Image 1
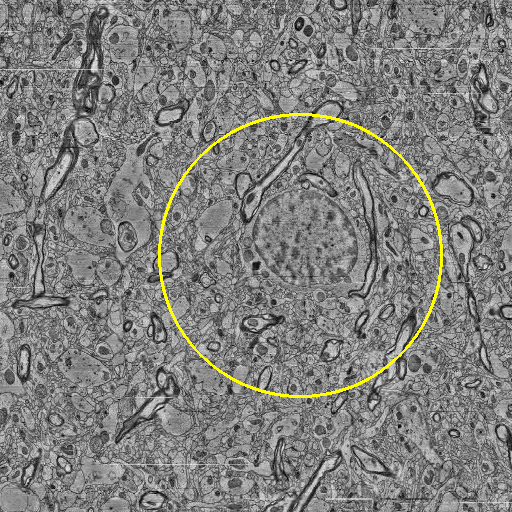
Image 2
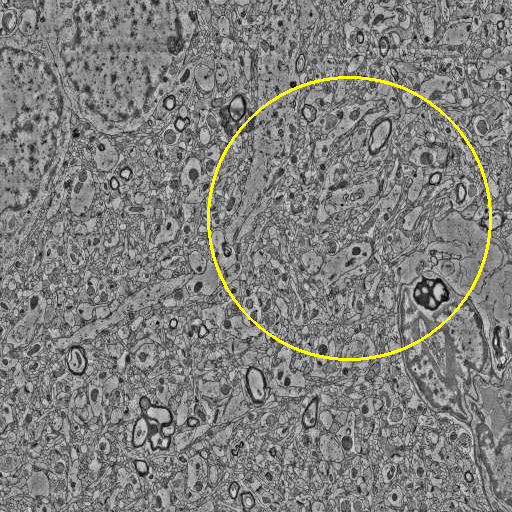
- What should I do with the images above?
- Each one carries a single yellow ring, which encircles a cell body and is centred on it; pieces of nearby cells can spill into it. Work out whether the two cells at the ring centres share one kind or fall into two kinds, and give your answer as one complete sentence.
The ring-centre cells of Image 1 and Image 2 fall into two kinds.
